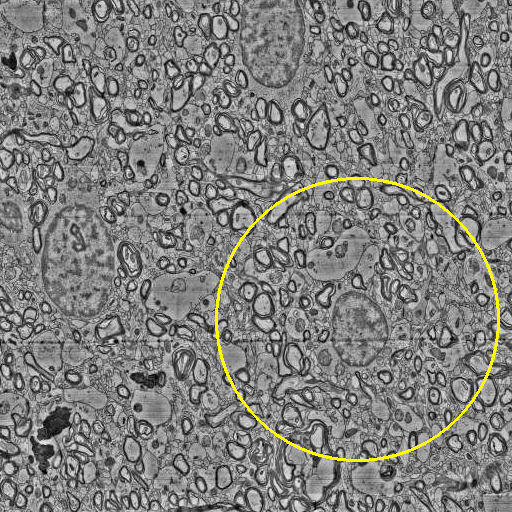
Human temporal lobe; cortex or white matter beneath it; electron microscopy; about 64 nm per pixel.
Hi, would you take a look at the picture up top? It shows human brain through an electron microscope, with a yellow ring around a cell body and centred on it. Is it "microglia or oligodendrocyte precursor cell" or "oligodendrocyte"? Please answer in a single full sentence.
The best fit for the cell in the middle of the ring is an oligodendrocyte, I reckon.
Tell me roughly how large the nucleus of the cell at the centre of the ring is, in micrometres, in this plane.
In this plane, approximately 5 by 4 micrometers.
